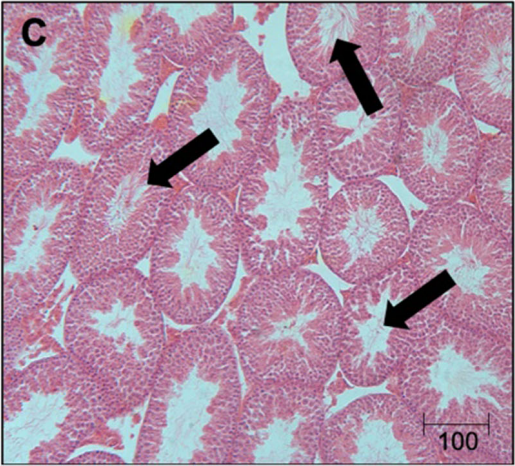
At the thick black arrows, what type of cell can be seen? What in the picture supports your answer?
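The arrows point into the open centres of round tubules. The tubule centres hold pale, fine, wispy streaming material. Many cell layers line each tubule wall around the open centre.
Conclusion: mature spermatozoa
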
